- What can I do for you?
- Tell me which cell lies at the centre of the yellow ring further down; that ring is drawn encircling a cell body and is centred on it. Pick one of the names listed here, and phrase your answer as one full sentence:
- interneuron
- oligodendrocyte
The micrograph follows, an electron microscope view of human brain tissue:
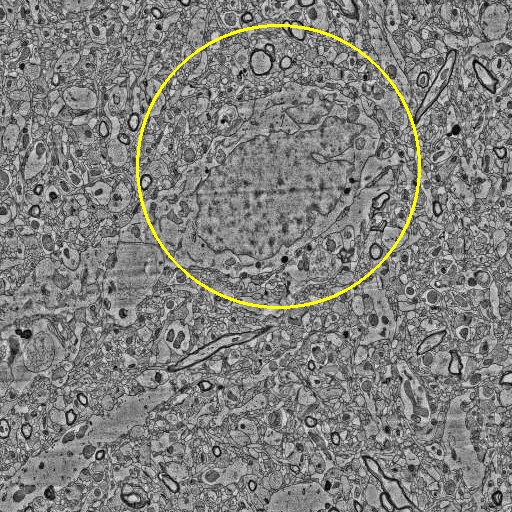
The cell whose body lies at the centre of the yellow ring is an interneuron.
